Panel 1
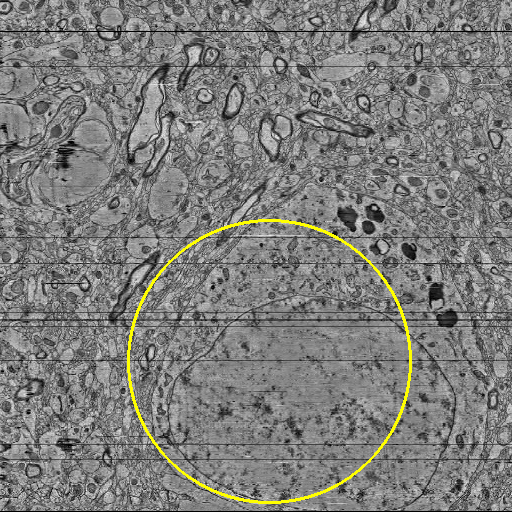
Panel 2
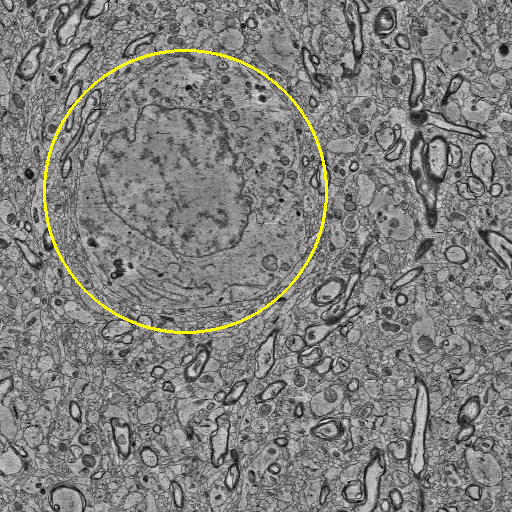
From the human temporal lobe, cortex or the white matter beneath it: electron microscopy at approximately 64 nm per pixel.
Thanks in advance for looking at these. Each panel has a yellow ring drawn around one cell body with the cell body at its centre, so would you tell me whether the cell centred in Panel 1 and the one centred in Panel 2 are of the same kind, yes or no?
yes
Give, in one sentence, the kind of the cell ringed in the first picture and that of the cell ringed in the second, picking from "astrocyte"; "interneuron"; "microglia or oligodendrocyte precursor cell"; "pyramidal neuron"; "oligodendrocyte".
Both cells are the same kind, each one being a pyramidal neuron.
